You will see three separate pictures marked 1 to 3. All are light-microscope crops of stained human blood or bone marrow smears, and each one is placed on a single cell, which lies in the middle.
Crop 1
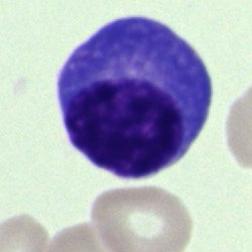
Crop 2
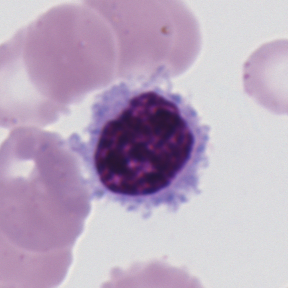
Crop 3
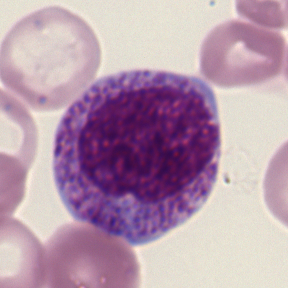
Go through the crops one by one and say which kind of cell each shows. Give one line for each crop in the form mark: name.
1: plasma cell
2: hairy cell
3: promyelocyte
